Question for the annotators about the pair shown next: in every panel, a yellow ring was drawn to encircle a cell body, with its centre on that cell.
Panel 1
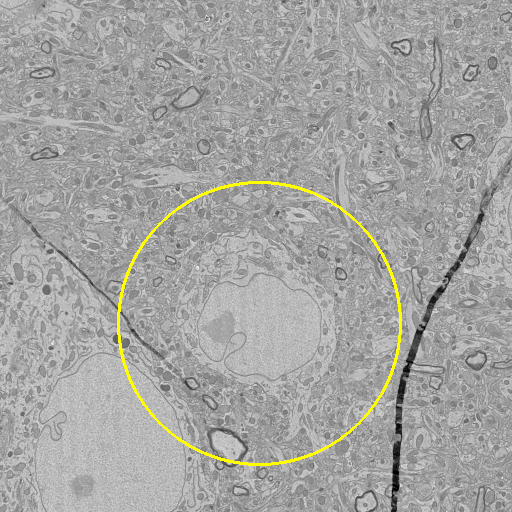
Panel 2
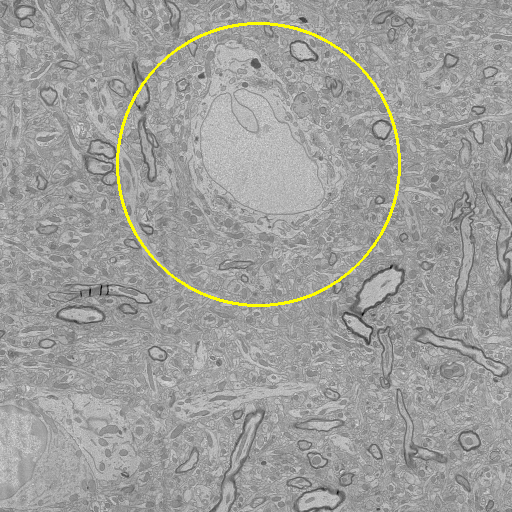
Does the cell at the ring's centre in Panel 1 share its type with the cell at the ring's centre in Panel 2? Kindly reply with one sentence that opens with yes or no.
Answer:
Yes, in Panels 1 and 2 the cells at the ring centres belong to a single type.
